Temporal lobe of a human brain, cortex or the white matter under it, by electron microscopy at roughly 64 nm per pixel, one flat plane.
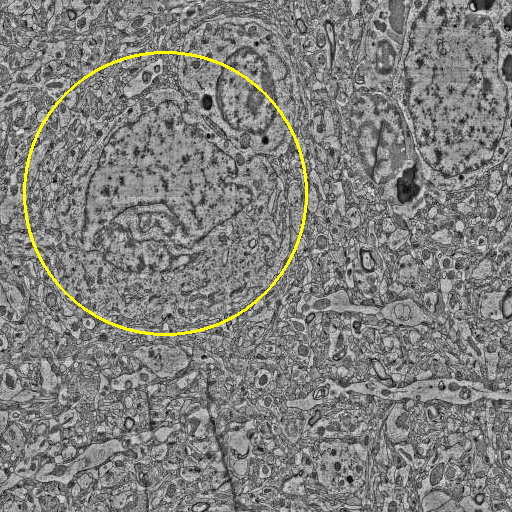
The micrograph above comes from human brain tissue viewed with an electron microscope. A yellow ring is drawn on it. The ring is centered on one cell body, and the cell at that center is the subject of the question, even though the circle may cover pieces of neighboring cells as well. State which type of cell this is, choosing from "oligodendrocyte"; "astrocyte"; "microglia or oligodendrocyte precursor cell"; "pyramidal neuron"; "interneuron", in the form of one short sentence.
The cell the ring is centered on is an interneuron.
